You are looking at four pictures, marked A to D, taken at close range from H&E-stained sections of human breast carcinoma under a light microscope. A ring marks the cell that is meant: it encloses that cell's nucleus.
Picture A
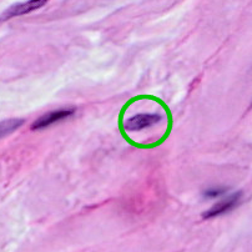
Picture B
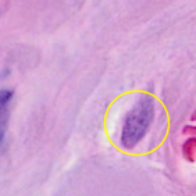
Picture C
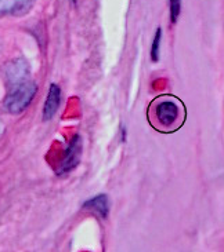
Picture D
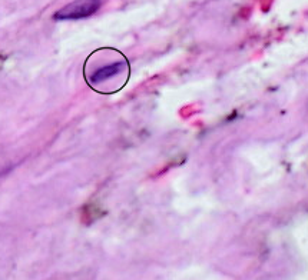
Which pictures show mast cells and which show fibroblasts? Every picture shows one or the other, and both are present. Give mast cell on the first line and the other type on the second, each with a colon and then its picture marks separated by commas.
mast cell: C
fibroblast: A, B, D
